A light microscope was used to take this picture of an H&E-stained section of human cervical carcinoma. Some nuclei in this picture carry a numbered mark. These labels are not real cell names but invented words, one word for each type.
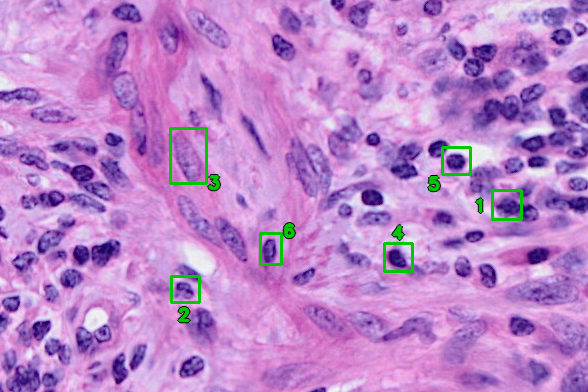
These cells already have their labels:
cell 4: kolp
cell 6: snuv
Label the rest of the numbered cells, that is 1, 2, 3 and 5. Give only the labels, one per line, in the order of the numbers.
kolp
kolp
snuv
kolp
